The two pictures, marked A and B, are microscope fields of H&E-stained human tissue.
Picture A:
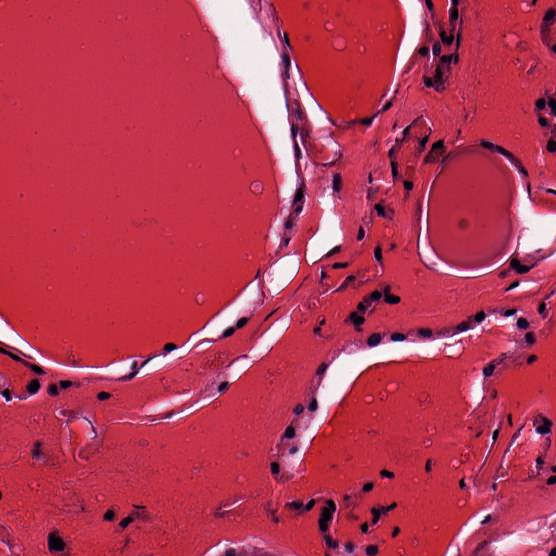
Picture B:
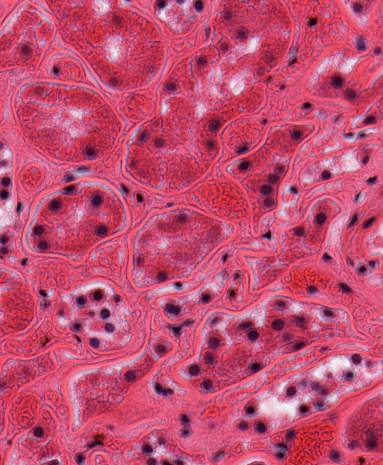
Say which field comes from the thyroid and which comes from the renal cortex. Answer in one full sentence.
Picture B comes from the renal cortex, while picture A comes from the thyroid.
